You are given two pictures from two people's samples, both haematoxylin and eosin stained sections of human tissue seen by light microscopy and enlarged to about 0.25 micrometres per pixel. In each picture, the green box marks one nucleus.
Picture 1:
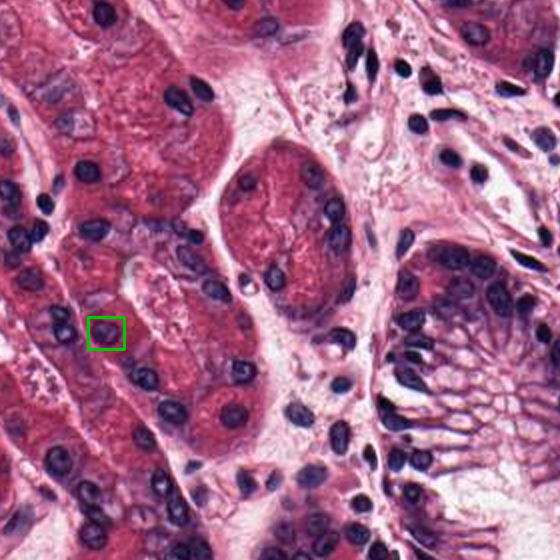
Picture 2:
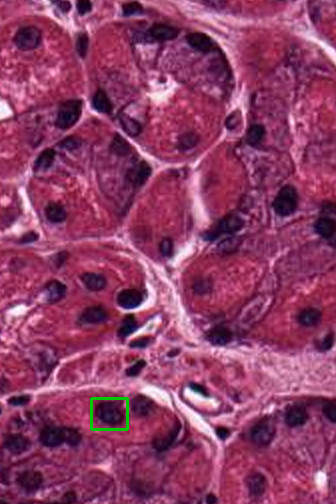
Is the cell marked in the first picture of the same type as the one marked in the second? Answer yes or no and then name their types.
Yes, both are parietal cells.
